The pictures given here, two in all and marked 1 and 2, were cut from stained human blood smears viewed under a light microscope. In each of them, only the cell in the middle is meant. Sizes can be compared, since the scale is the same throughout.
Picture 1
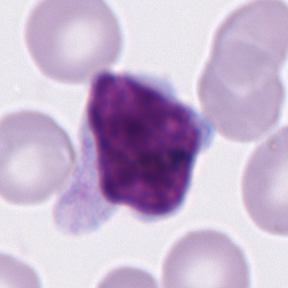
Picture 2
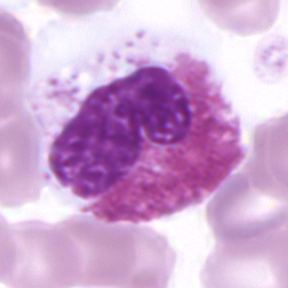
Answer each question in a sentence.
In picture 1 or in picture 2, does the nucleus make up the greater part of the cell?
The nucleus fills more of the cell in picture 1 than in picture 2.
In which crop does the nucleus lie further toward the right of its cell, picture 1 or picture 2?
In picture 1 the nucleus is shifted more toward the right.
